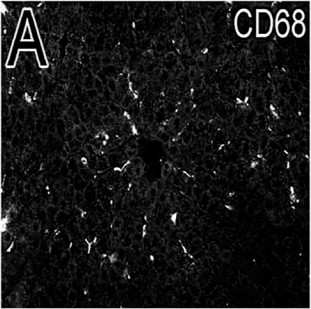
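Liver parenchyma with Kupffer cells shown as small bright, irregular and branched profiles on a dark background. They lie singly and fairly evenly spaced between the faintly outlined larger parenchymal cells. A dark, empty vessel lumen sits near the centre, with a few labelled cells close to it.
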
